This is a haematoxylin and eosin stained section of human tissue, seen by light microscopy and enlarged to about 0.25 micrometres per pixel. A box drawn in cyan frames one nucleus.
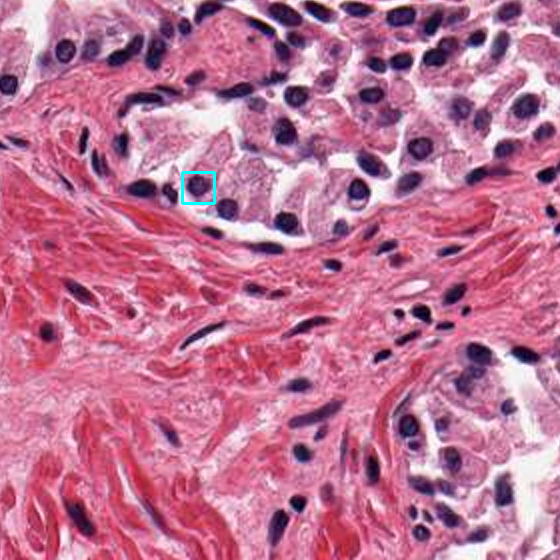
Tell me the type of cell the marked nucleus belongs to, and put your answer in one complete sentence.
The marked nucleus is recognized as the nucleus of a prostate gland luminal cell.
